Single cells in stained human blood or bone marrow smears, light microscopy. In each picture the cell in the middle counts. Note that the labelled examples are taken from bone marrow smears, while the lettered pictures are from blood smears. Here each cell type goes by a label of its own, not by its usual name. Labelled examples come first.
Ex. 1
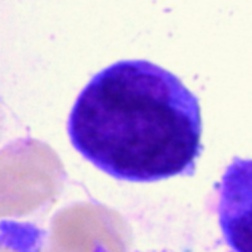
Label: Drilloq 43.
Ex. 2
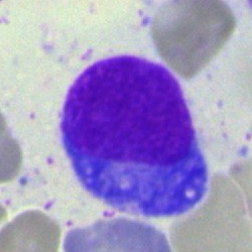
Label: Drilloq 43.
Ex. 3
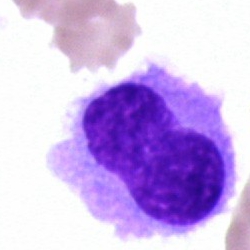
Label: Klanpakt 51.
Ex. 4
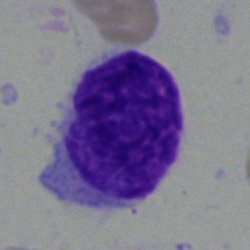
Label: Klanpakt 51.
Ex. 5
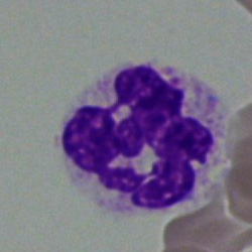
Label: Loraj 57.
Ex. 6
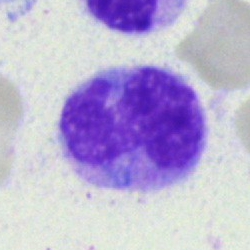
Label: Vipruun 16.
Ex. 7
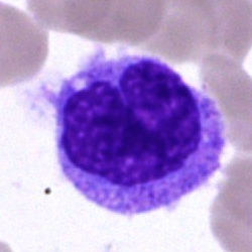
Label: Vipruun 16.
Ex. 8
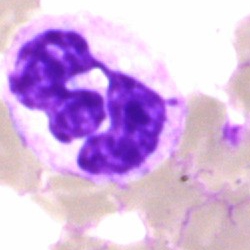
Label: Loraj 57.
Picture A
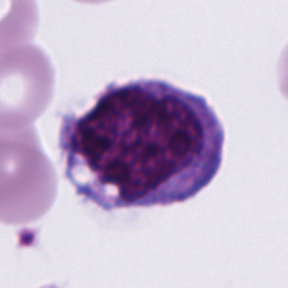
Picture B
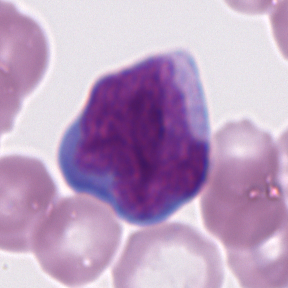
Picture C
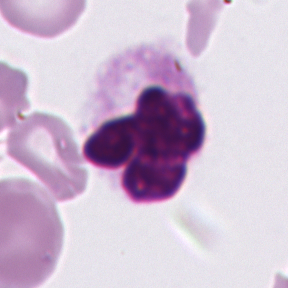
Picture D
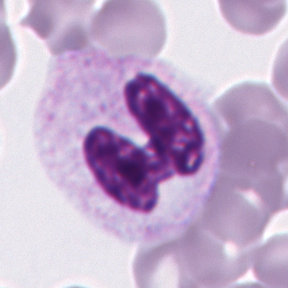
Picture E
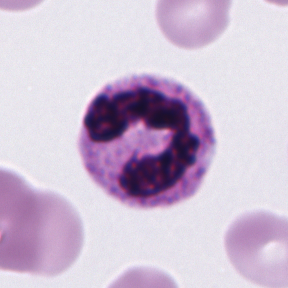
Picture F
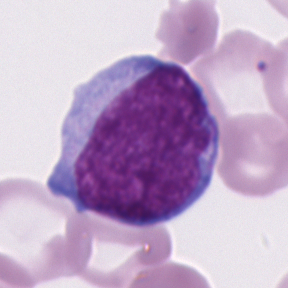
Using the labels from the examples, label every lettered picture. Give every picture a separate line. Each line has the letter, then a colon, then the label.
A: Vipruun 16.
B: Drilloq 43.
C: Loraj 57.
D: Loraj 57.
E: Loraj 57.
F: Drilloq 43.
